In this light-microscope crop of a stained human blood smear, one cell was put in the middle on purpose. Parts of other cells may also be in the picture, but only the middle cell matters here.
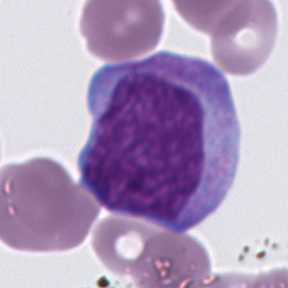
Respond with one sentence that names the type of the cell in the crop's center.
As for the central cell, it is an atypical promyelocyte.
